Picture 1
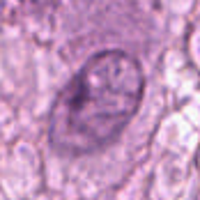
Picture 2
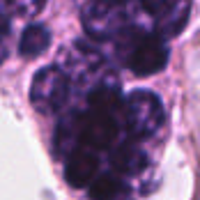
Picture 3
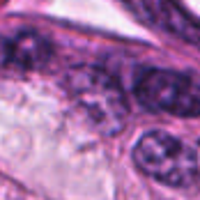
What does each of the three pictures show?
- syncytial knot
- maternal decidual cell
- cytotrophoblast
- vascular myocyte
1. maternal decidual cell
2. syncytial knot
3. cytotrophoblast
